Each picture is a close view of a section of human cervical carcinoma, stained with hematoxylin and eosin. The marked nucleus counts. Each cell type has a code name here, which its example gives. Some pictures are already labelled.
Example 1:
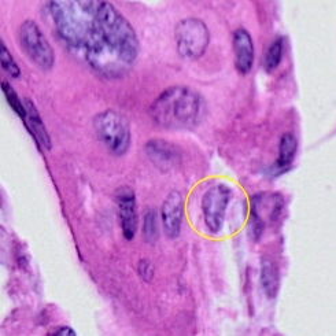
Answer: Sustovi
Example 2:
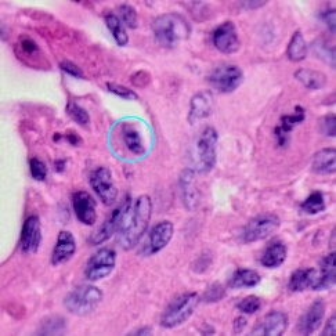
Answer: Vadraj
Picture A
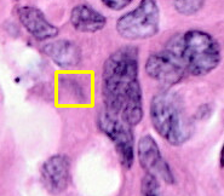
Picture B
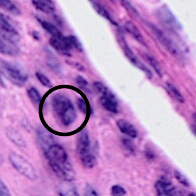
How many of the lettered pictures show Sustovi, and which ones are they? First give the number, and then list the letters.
0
